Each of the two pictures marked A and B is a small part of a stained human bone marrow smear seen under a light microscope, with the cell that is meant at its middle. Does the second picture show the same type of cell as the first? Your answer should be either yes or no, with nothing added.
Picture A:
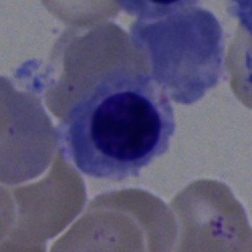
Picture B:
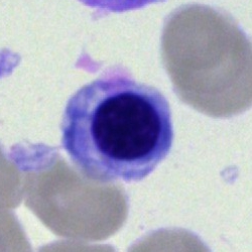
yes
